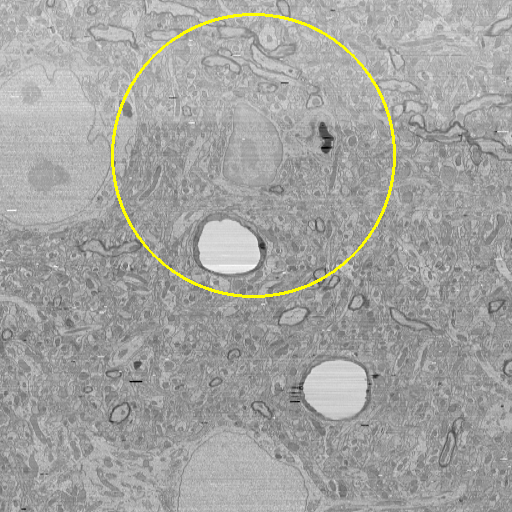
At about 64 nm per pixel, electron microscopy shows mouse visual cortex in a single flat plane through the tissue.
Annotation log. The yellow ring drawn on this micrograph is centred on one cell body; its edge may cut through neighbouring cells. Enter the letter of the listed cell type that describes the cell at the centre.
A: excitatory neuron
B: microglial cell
B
